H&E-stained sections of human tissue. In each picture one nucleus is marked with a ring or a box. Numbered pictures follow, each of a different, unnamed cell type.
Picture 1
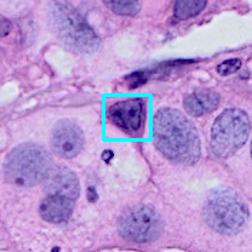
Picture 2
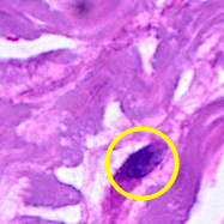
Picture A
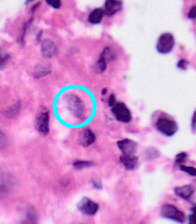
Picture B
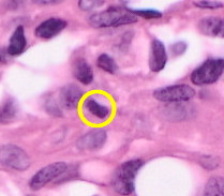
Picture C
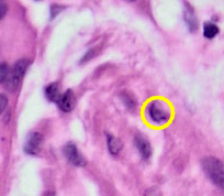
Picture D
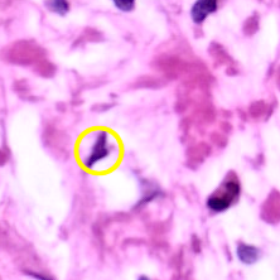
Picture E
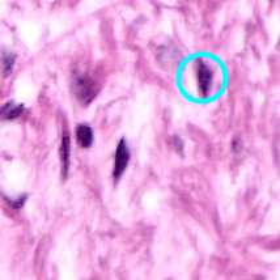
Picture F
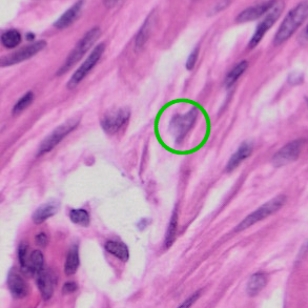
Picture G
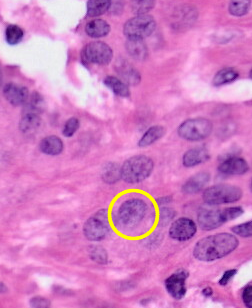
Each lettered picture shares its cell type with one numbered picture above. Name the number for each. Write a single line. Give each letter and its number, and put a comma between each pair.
A 2, B 1, C 2, D 2, E 2, F 2, G 1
